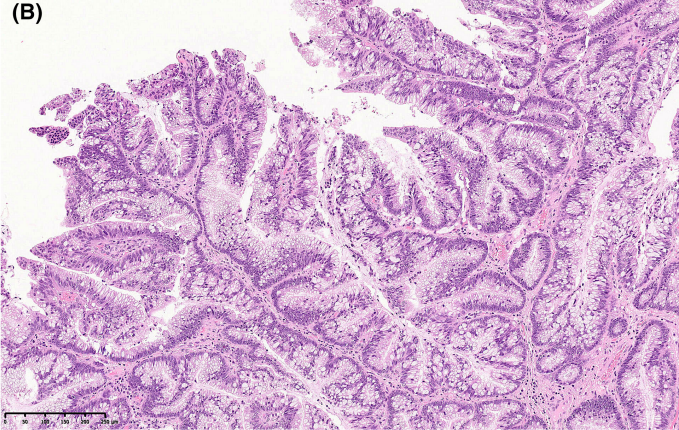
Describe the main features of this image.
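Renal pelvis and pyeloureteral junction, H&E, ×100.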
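This is an adenomatous polyp made of closely packed slender villi lined by columnar epithelium with intracellular mucin. The villi are narrow fronds with thin pink fibrovascular cores that branch and lie close beside one another. Above the nuclei the cytoplasm is pale and clear.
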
